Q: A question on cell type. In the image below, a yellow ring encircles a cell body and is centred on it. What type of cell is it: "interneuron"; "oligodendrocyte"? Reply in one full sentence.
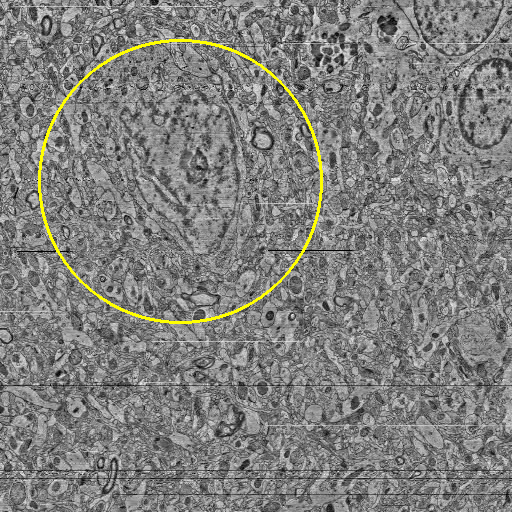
It is an interneuron whose cell body sits at the centre of the yellow ring in the image.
